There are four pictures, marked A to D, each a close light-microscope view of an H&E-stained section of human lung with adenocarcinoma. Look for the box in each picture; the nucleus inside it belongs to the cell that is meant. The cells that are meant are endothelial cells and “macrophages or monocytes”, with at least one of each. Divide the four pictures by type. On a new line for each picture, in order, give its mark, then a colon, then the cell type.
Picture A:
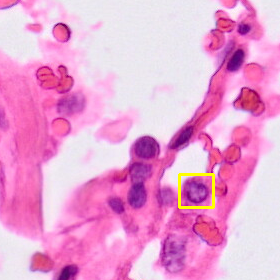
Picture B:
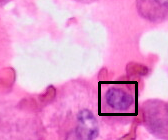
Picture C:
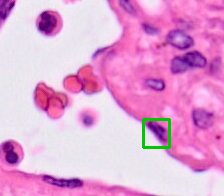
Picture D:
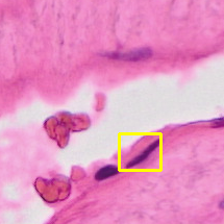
A: macrophage or monocyte
B: macrophage or monocyte
C: endothelial cell
D: endothelial cell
